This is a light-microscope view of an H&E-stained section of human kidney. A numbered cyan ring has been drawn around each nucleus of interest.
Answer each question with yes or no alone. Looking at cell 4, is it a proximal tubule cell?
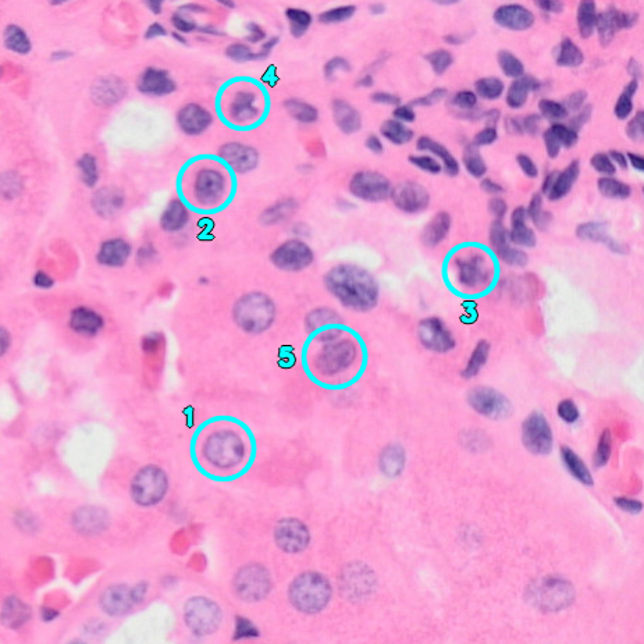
no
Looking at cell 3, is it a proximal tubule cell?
no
